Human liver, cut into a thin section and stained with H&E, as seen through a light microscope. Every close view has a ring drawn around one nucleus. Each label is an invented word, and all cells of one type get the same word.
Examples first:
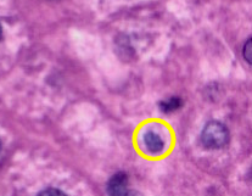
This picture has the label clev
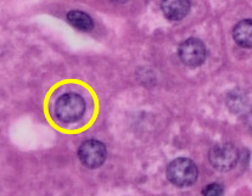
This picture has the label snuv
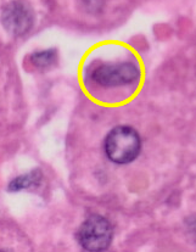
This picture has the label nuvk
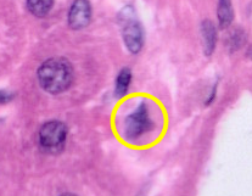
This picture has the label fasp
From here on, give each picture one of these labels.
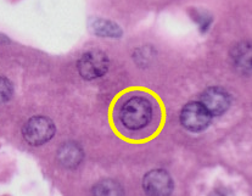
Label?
snuv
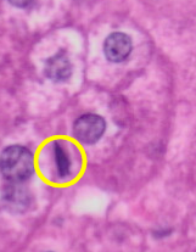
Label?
fasp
